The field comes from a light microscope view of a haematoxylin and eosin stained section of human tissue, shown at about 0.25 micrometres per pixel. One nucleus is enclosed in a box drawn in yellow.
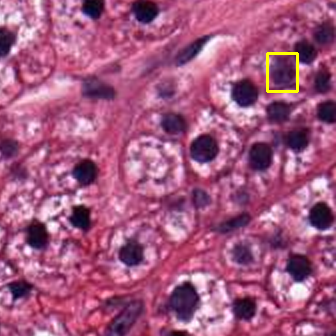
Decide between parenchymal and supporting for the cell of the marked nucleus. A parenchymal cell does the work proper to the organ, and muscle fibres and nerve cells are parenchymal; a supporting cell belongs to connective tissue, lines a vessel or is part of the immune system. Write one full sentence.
Here the marked nucleus belongs to a parenchymal cell, that is, an adrenal cortical cell.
